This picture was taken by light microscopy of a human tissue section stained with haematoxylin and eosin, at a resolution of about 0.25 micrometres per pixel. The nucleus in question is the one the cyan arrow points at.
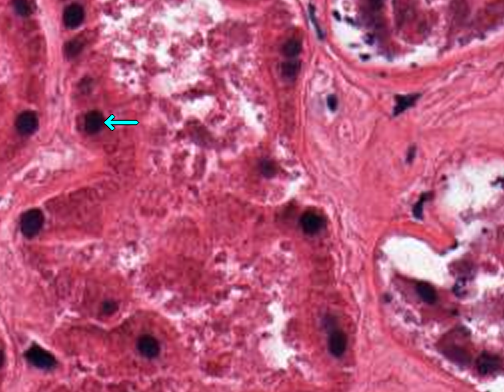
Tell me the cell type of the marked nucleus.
proximal tubule cell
